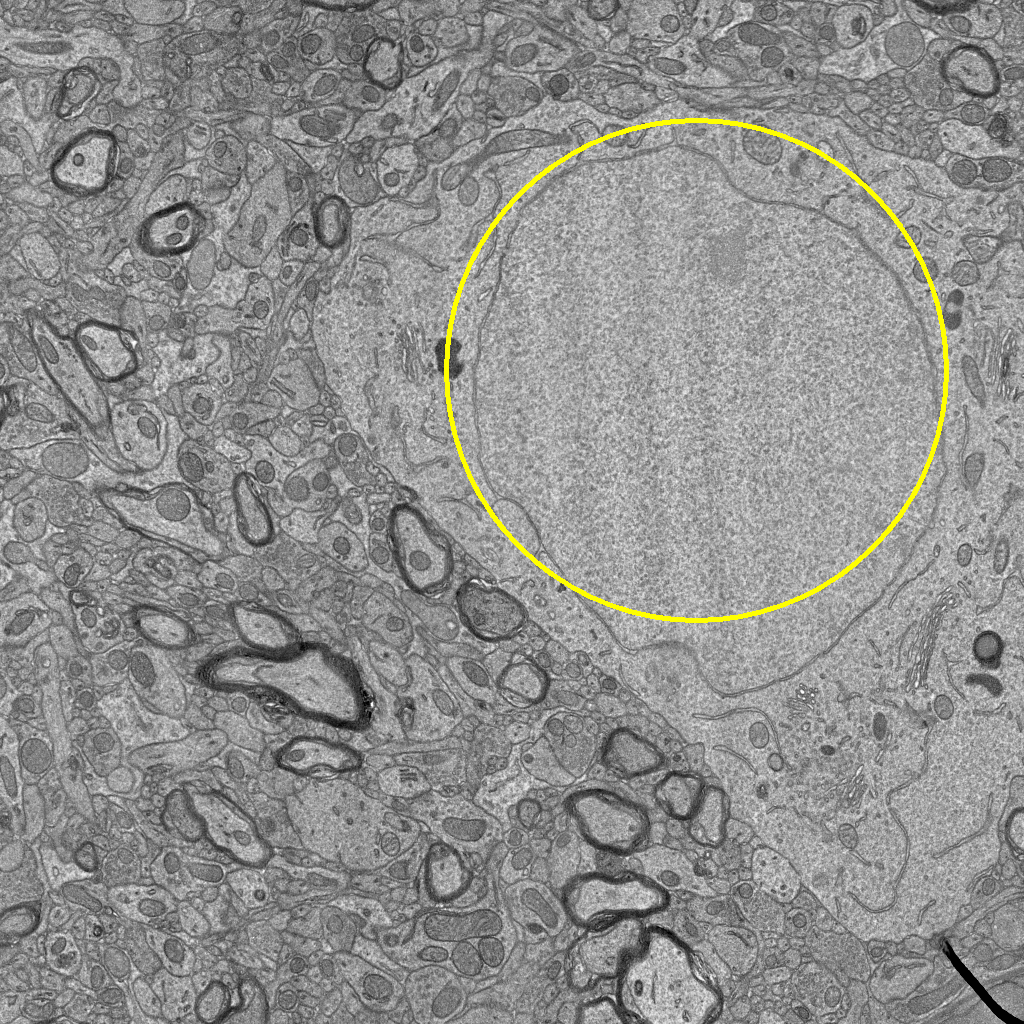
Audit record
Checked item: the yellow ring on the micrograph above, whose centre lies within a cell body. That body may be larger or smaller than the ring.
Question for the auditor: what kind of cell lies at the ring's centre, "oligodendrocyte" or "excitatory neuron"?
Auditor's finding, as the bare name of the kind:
excitatory neuron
